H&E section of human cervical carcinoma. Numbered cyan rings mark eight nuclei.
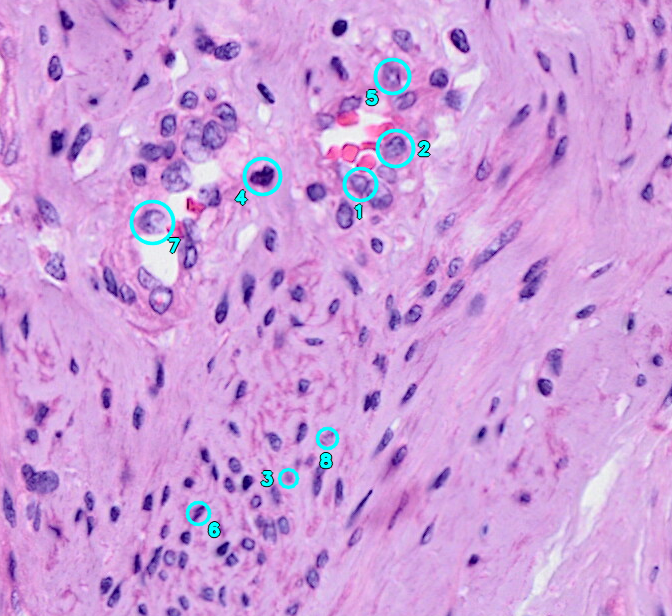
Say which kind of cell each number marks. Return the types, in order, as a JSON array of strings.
["endothelial cell", "endothelial cell", "smooth muscle cell", "lymphocyte", "endothelial cell", "smooth muscle cell", "endothelial cell", "smooth muscle cell"]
